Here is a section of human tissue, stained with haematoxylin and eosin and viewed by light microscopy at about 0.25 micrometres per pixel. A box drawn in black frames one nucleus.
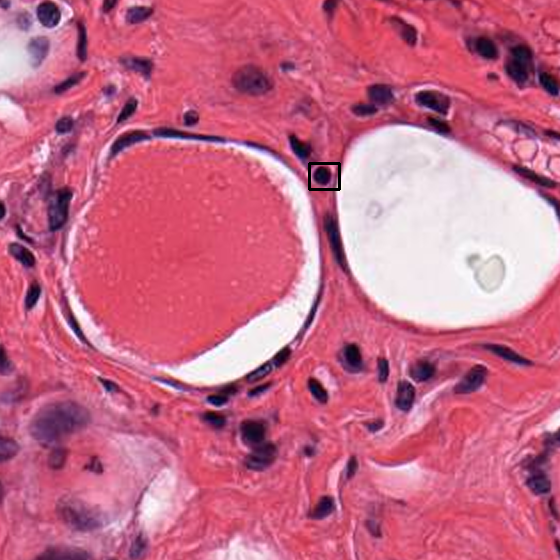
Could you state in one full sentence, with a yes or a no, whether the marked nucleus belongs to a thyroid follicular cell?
No, the marked nucleus belongs to a supporting cell of connective tissue, a vessel or the immune system, not to a thyroid follicular cell.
